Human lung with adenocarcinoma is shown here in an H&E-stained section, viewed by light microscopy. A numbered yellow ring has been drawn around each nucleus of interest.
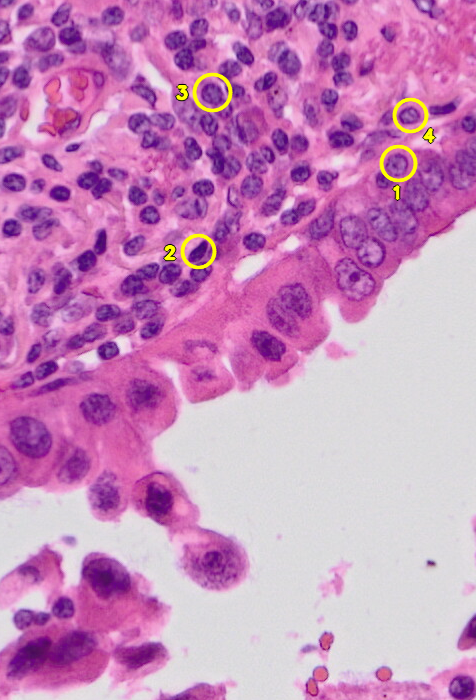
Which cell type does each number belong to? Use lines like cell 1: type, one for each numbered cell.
cell 1: ciliated epithelial cell
cell 2: lymphocyte
cell 3: lymphocyte
cell 4: mast cell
